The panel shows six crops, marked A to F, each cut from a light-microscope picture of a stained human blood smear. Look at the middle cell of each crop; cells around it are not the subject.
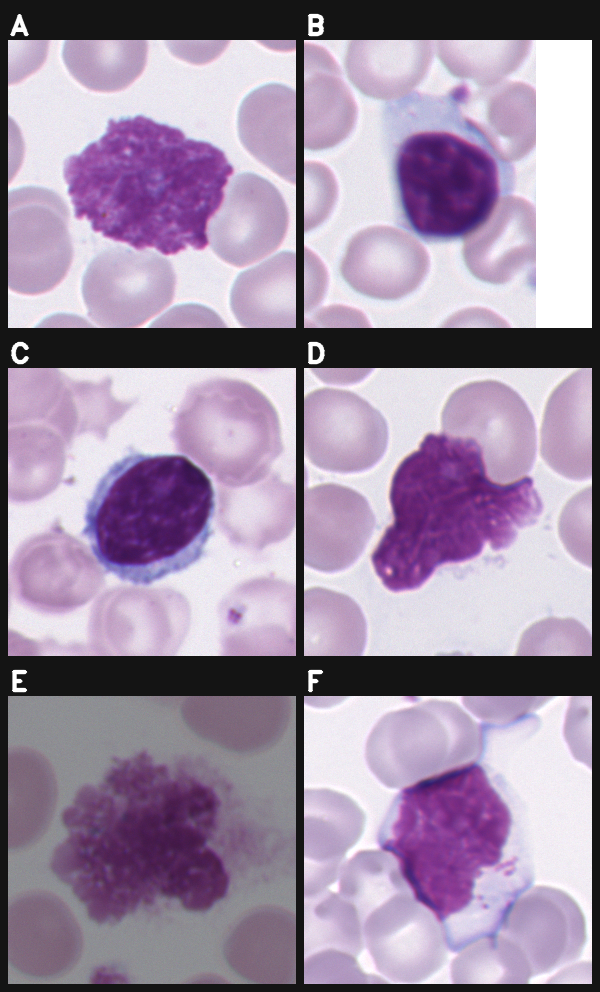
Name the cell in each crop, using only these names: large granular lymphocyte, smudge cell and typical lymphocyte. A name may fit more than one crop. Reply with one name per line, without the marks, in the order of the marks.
smudge cell
typical lymphocyte
typical lymphocyte
smudge cell
smudge cell
large granular lymphocyte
